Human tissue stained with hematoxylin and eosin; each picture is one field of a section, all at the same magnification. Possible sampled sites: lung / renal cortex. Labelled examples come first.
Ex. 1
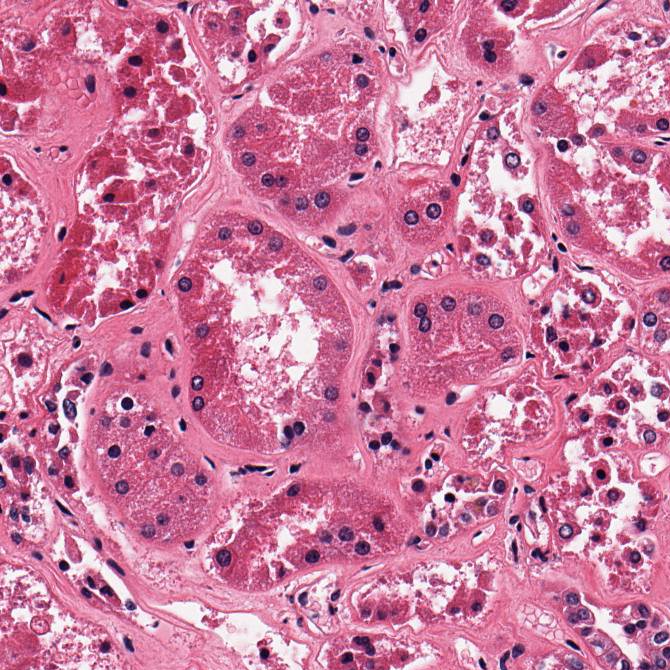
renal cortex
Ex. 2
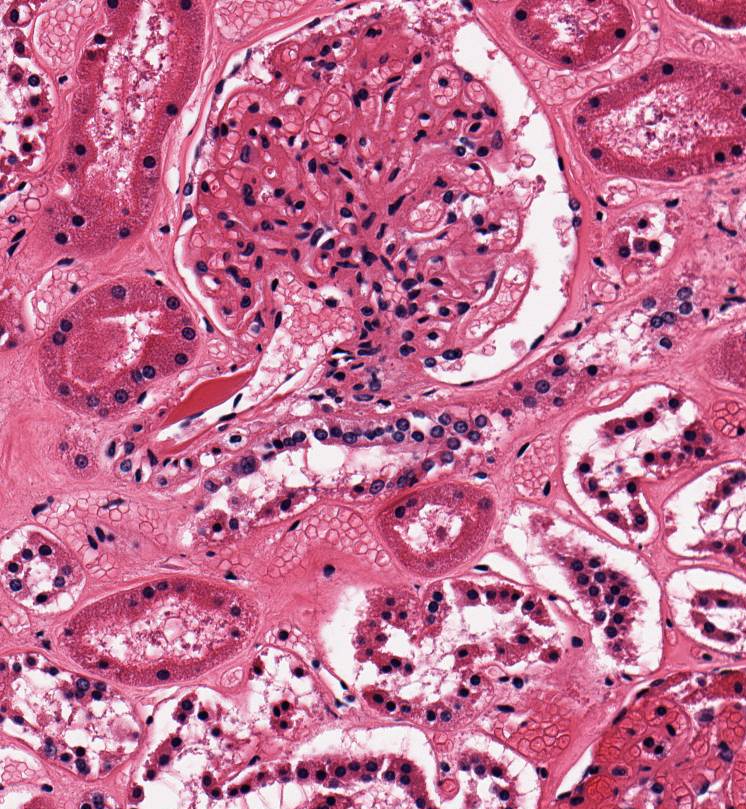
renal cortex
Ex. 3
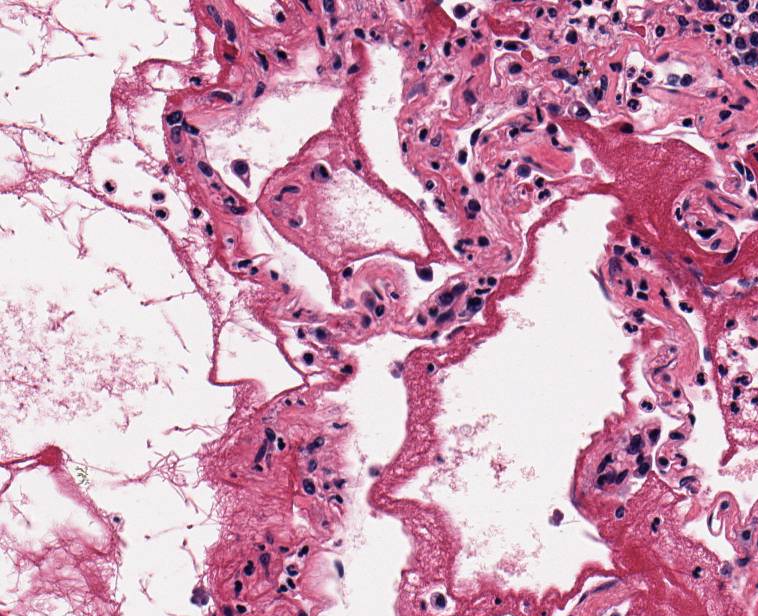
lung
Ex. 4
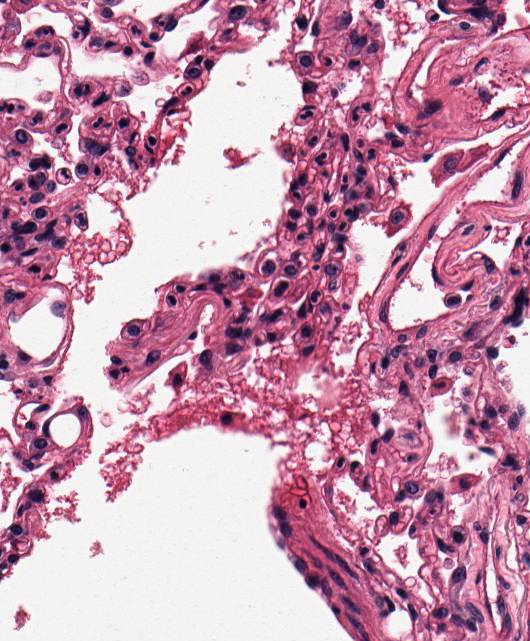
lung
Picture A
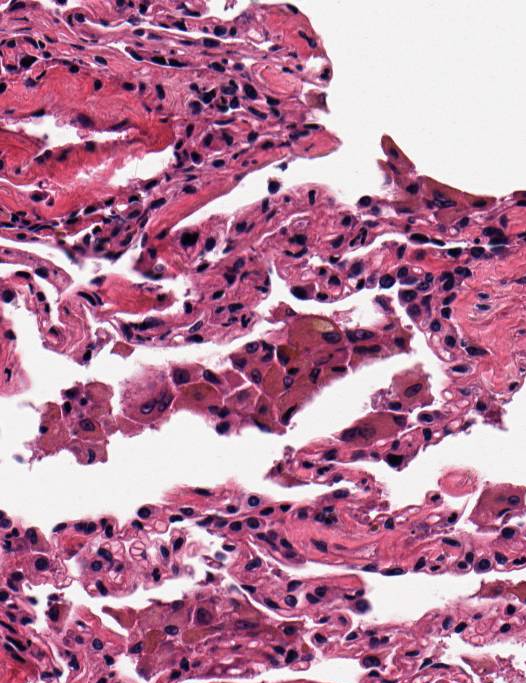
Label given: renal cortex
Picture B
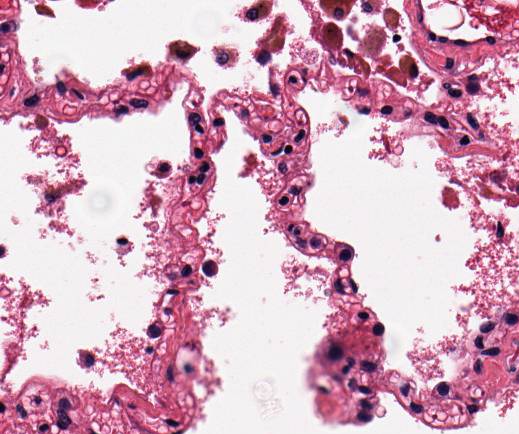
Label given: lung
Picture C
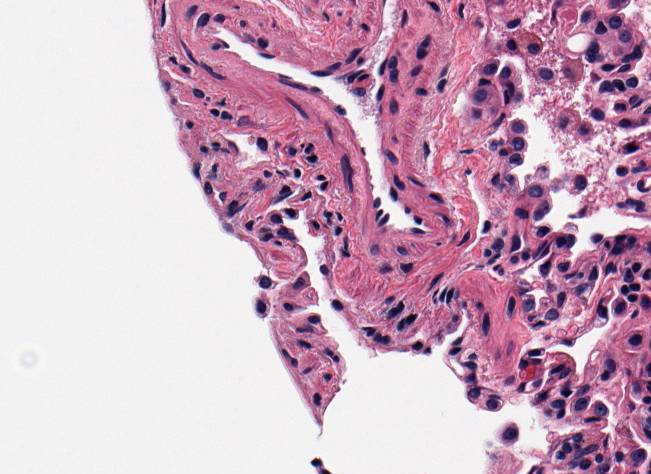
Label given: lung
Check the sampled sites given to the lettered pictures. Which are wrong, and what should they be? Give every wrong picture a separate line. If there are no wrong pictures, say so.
A: not renal cortex but lung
